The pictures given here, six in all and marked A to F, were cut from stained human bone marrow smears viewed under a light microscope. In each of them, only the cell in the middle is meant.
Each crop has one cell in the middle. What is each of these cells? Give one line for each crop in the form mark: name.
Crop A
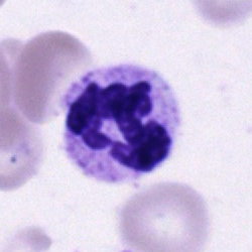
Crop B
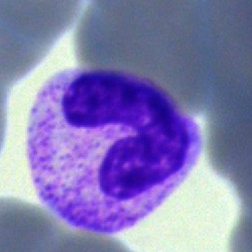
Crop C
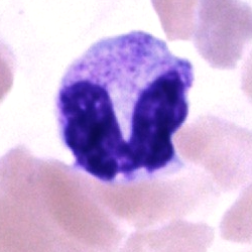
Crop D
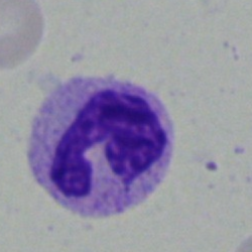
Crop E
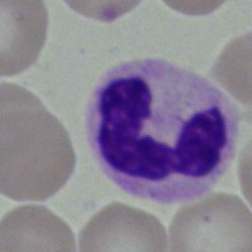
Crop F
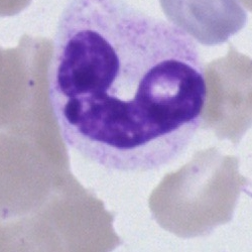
A: segmented neutrophil
B: band neutrophil
C: segmented neutrophil
D: segmented neutrophil
E: segmented neutrophil
F: band neutrophil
